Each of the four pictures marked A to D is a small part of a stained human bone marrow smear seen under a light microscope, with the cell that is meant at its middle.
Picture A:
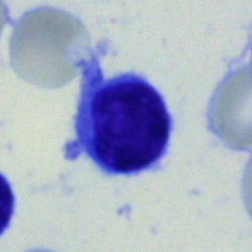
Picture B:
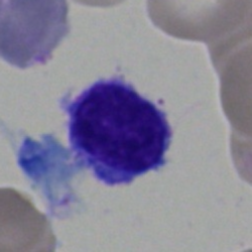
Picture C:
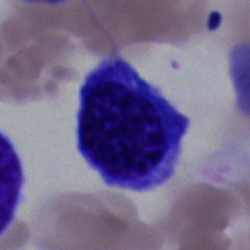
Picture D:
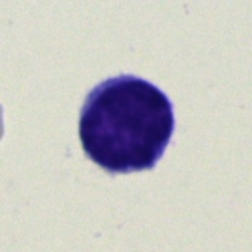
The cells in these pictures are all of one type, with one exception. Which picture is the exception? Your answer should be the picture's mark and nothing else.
C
